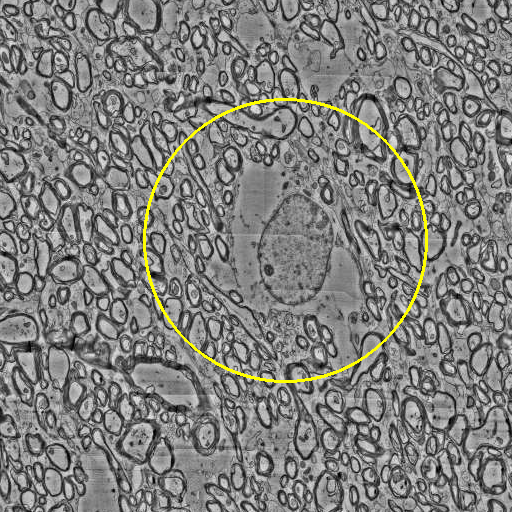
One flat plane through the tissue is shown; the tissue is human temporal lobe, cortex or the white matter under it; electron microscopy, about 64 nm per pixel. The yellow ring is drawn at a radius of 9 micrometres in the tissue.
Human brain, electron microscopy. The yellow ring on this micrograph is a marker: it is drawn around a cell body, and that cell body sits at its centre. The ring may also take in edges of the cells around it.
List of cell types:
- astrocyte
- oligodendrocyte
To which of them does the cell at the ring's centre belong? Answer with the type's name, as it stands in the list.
astrocyte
